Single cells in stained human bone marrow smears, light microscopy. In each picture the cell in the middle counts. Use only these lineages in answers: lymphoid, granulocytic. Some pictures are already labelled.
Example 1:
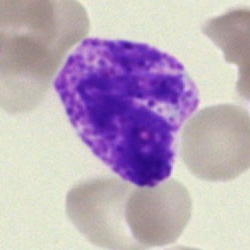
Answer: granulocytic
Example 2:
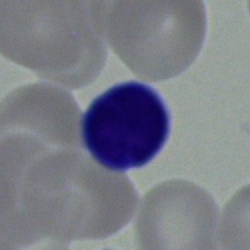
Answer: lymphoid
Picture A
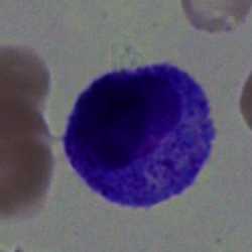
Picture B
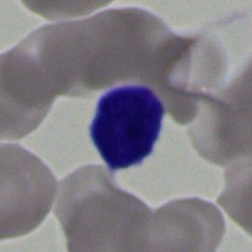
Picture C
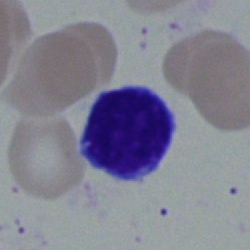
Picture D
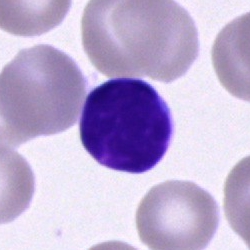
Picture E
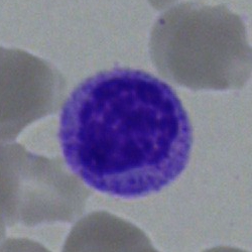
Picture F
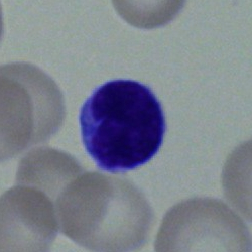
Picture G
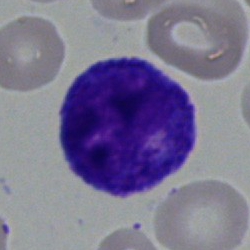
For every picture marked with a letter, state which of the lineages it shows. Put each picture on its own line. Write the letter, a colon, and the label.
A: granulocytic
B: lymphoid
C: lymphoid
D: lymphoid
E: granulocytic
F: lymphoid
G: granulocytic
